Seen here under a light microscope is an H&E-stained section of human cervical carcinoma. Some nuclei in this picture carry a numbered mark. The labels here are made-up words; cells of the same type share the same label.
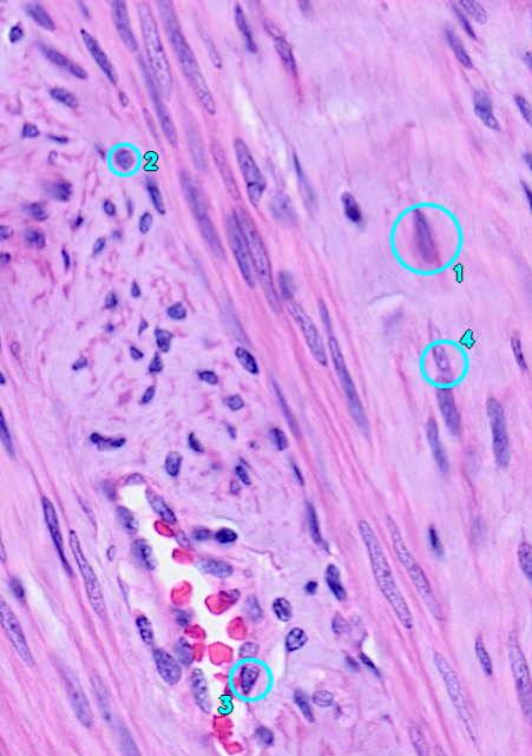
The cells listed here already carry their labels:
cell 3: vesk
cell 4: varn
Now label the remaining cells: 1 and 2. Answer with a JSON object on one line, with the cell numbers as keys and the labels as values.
{"1": "varn", "2": "varn"}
